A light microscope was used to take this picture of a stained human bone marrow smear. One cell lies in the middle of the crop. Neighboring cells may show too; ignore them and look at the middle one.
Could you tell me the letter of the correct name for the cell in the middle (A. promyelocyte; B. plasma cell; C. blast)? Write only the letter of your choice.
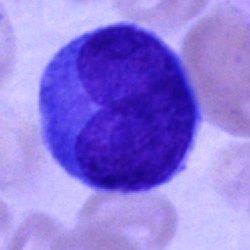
C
